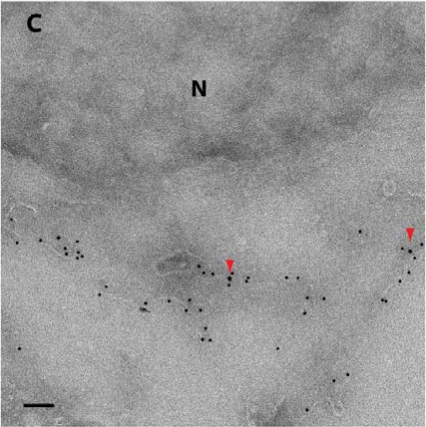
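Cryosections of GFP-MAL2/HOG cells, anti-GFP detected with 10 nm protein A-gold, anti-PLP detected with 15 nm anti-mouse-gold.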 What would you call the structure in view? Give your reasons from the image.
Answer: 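A dense, darker region occupies the upper part of the field. Below it small tubular and vesicular membrane profiles run in a band. Gold particles line this band of membrane profiles.
Conclusion: tubulovesicles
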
